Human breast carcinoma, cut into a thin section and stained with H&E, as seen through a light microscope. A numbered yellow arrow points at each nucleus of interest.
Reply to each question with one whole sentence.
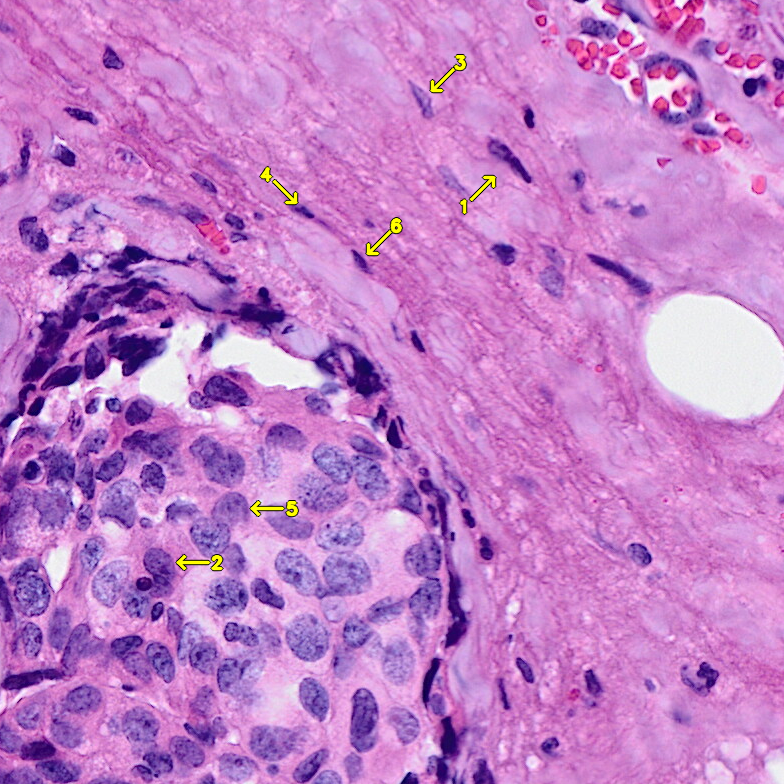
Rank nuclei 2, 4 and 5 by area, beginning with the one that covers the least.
Smallest first, the nuclei run 4, 2, 5.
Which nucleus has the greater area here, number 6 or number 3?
Nucleus 3 is the larger one, covering about 2 times the area of nucleus 6.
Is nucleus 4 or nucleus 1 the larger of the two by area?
Nucleus 1 covers more area, about 3 times as much as nucleus 4.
